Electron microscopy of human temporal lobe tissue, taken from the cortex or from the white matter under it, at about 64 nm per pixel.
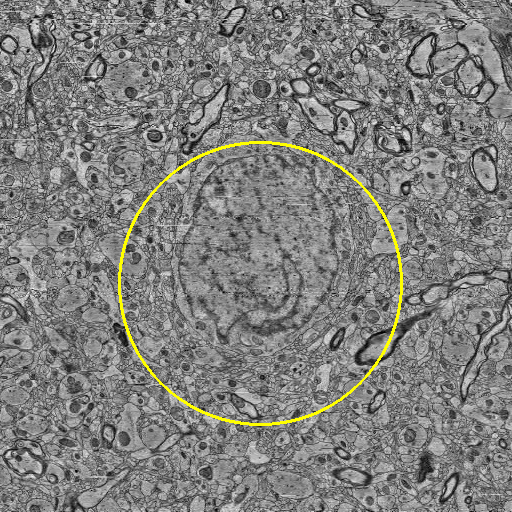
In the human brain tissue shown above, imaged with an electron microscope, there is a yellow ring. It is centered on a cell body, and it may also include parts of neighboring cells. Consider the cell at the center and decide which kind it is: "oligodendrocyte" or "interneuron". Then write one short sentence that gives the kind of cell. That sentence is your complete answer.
This centered cell body is that of an interneuron.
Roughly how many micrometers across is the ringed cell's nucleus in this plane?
The nucleus is approximately 12 micrometers long by 10 micrometers wide in this plane.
